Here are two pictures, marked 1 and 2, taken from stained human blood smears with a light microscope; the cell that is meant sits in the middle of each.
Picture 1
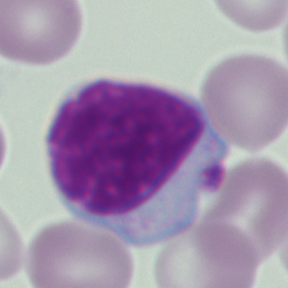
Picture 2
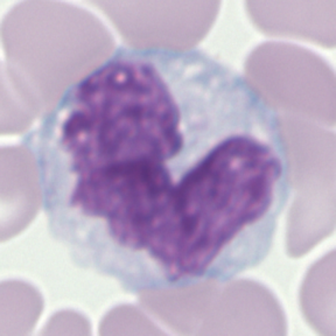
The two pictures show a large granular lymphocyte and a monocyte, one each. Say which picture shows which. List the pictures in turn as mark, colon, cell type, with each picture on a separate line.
1: large granular lymphocyte
2: monocyte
